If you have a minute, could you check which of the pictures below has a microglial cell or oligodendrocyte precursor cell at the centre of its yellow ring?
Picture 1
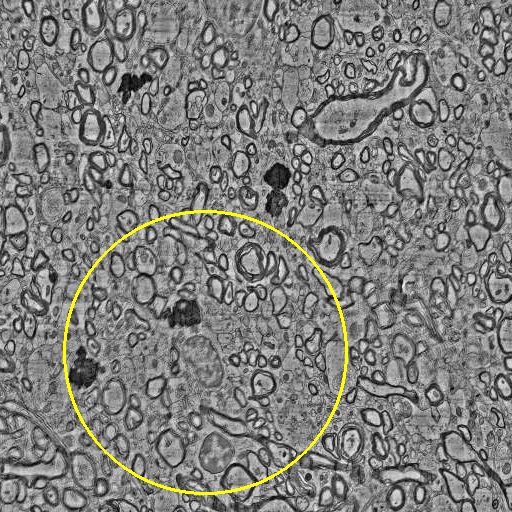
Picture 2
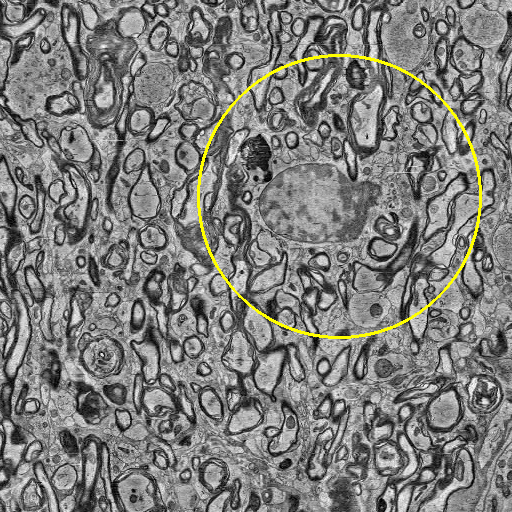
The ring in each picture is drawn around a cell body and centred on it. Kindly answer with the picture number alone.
2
